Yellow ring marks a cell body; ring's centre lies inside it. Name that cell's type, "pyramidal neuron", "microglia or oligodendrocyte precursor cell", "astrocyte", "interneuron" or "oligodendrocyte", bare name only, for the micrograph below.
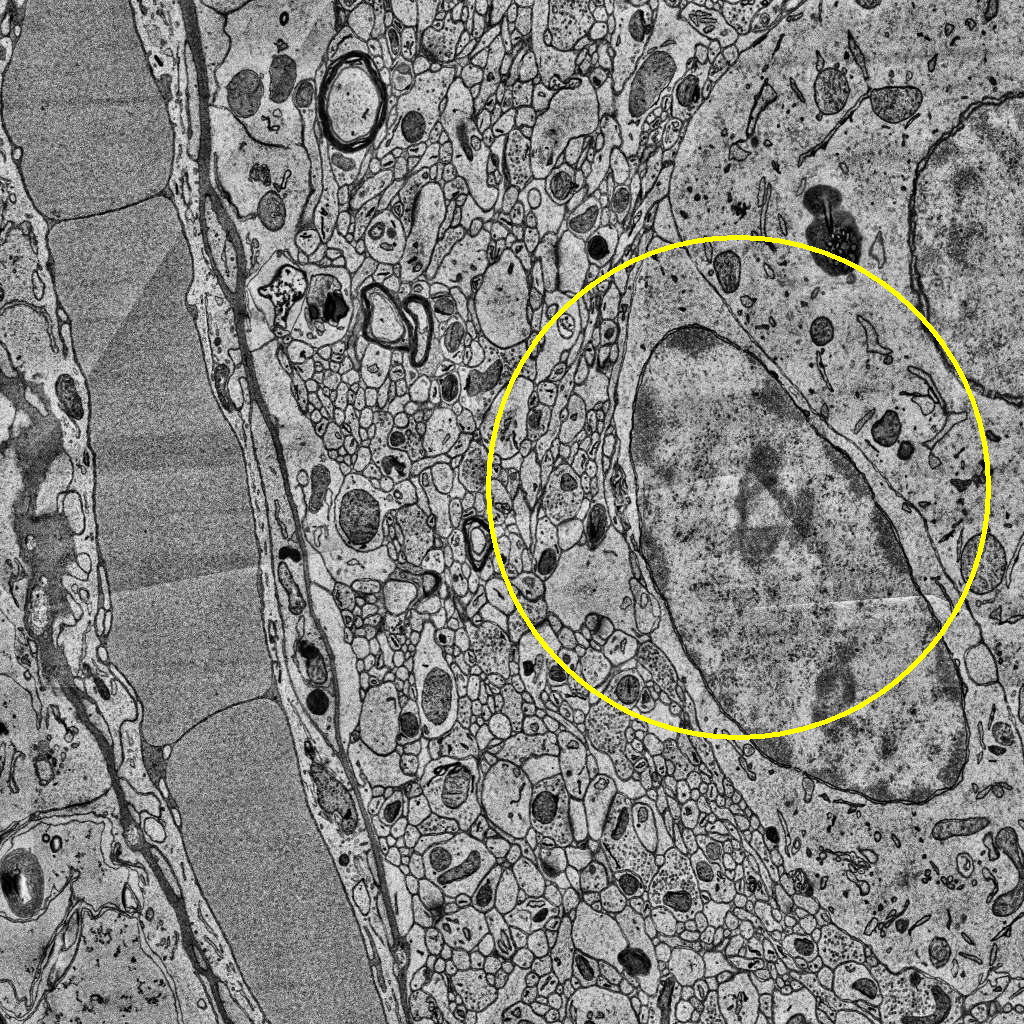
microglia or oligodendrocyte precursor cell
